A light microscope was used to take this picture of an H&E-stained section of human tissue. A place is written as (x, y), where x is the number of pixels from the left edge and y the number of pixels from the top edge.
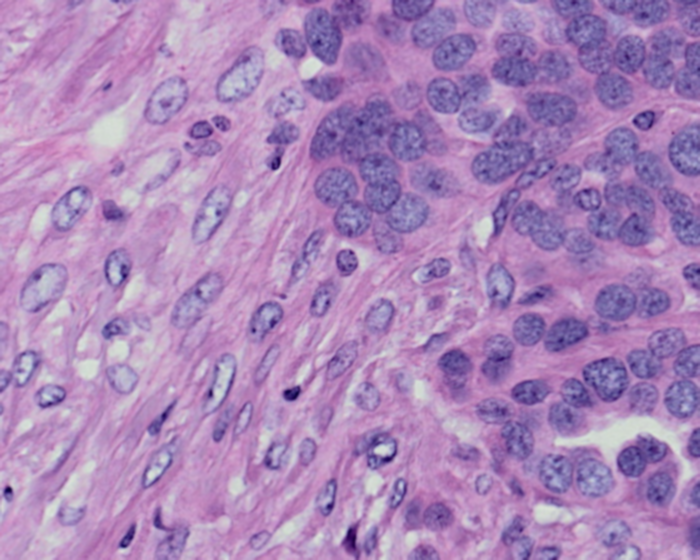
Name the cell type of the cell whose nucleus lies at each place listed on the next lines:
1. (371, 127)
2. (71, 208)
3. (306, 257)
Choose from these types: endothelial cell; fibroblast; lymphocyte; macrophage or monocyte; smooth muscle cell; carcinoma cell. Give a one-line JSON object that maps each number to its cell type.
{"1": "carcinoma cell", "2": "fibroblast", "3": "fibroblast"}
